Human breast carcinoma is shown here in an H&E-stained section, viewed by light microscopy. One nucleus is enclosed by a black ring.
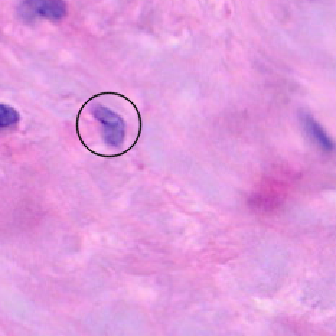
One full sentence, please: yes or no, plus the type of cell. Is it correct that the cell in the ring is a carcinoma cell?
No, the cell in the ring is classed as a fibroblast, not a carcinoma cell.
